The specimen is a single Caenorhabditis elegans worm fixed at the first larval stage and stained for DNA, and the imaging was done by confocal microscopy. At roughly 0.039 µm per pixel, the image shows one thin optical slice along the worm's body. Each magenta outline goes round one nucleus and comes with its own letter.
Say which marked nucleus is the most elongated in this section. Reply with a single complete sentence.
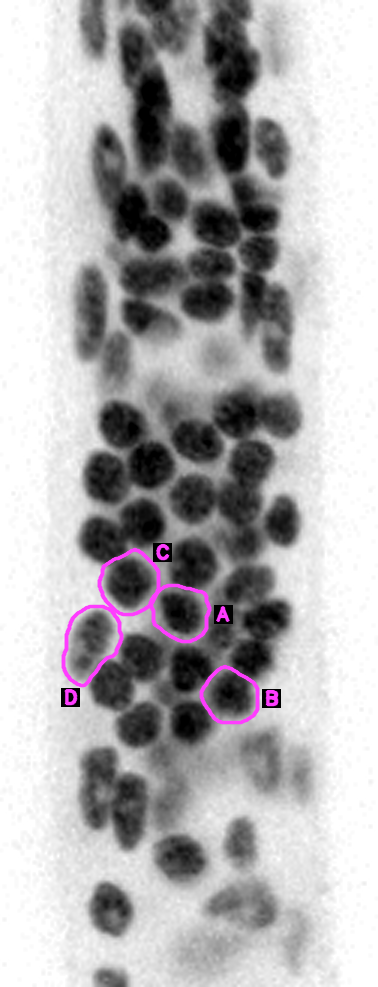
The most elongated nucleus is D.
